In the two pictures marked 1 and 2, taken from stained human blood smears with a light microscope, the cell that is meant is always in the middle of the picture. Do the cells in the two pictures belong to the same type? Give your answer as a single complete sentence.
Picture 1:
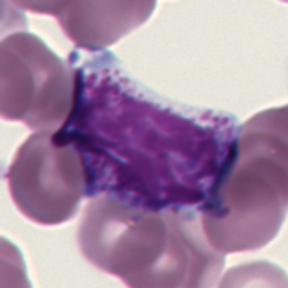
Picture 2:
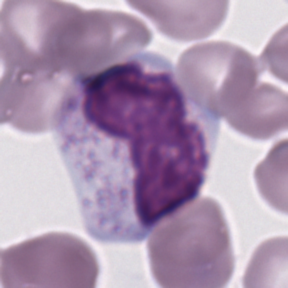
Yes, they are the same type: both are myelocytes.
